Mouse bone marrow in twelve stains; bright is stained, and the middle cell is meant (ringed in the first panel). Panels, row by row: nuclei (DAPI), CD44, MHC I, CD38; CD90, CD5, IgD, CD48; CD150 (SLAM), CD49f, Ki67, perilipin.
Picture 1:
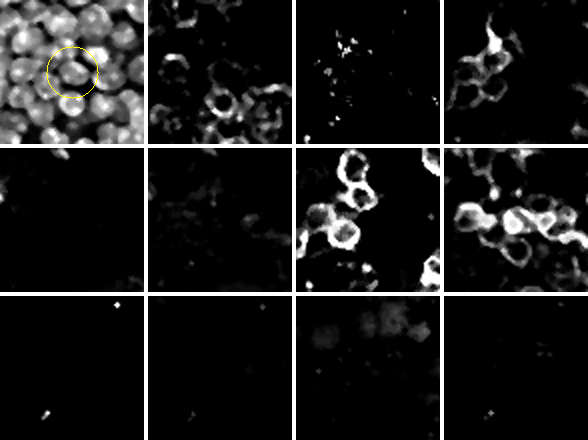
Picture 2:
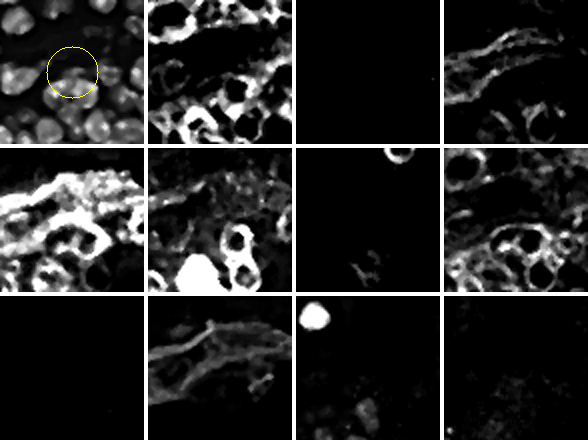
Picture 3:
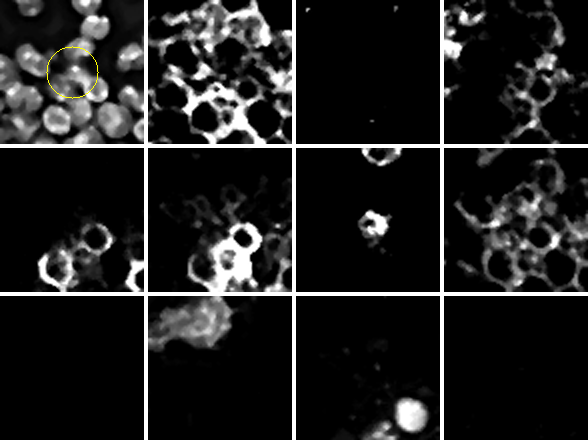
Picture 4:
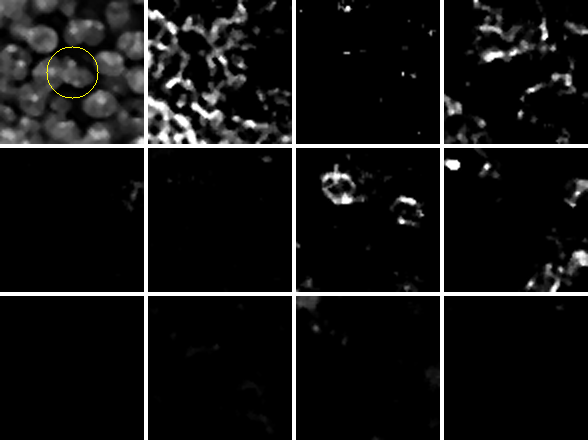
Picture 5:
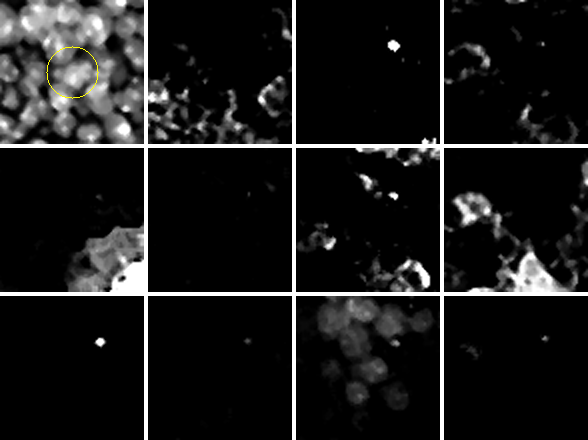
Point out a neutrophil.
That is picture 4.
